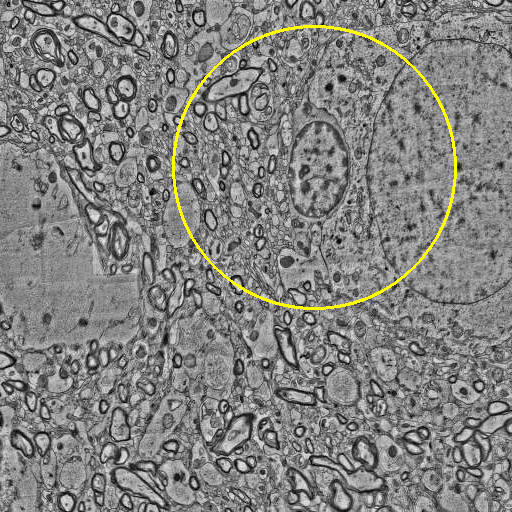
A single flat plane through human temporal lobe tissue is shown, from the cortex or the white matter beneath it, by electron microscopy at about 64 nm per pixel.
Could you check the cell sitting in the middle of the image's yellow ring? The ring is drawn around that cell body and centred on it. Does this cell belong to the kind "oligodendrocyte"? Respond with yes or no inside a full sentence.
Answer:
Yes, this cell in the middle of the yellow ring is one of that kind.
